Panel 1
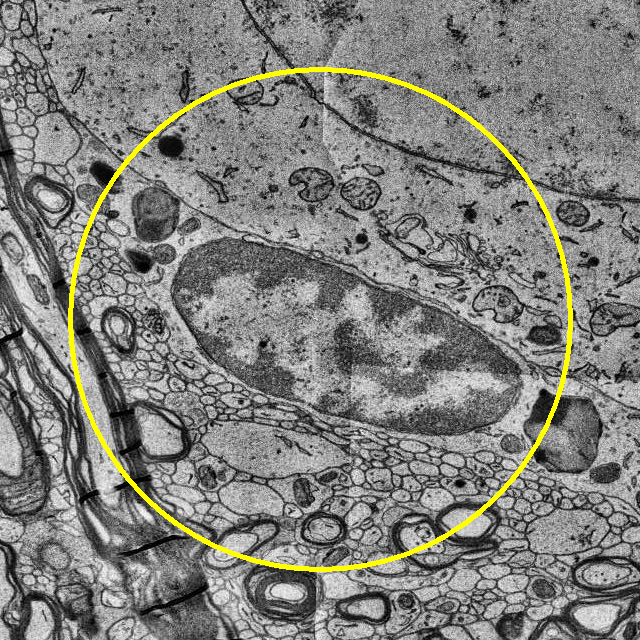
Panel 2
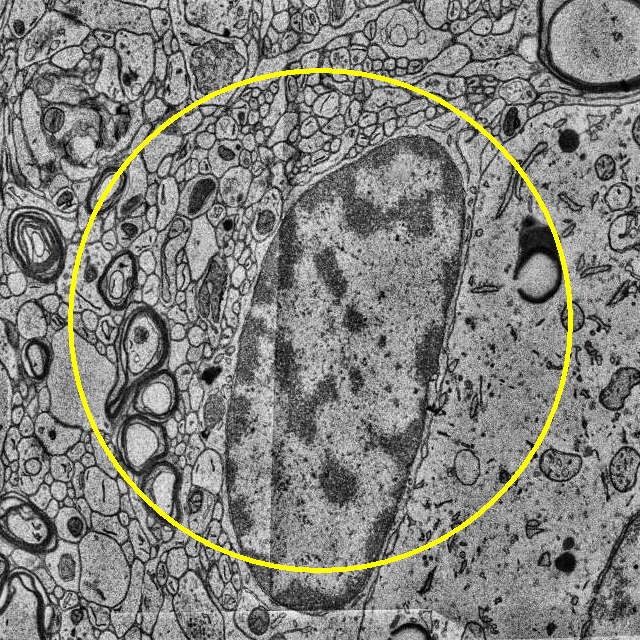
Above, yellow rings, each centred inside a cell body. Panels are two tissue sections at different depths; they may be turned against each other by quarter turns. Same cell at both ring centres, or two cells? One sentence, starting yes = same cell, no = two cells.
Yes, the two yellow circles hold the same cell.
